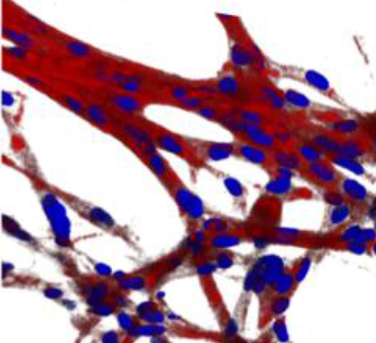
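Elongated cells with red cytoplasm form branching cords and a thick trunk, with oval blue nuclei strung along the branches. The cords split and rejoin into a network of multicellular strands rather than scattered single cells.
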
